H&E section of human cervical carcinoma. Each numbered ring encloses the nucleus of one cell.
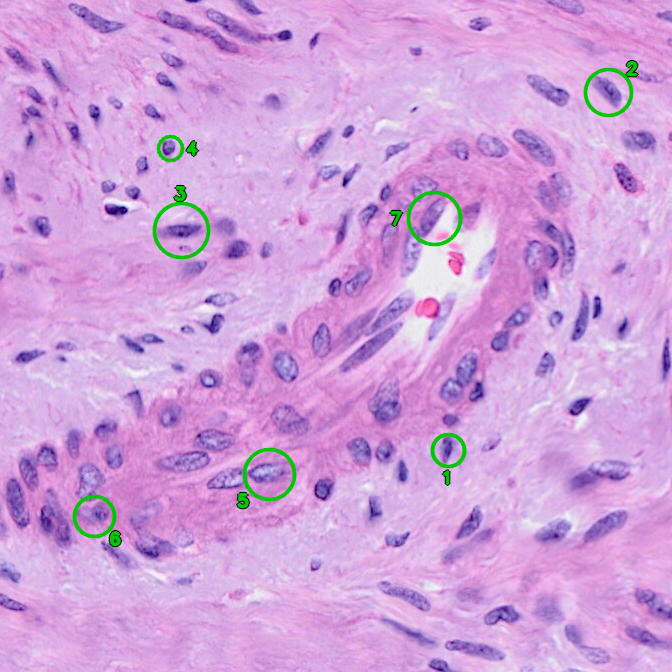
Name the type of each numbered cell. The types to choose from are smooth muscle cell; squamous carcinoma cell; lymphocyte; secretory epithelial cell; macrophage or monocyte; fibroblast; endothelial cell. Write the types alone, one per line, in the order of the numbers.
fibroblast
fibroblast
fibroblast
fibroblast
smooth muscle cell
smooth muscle cell
endothelial cell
